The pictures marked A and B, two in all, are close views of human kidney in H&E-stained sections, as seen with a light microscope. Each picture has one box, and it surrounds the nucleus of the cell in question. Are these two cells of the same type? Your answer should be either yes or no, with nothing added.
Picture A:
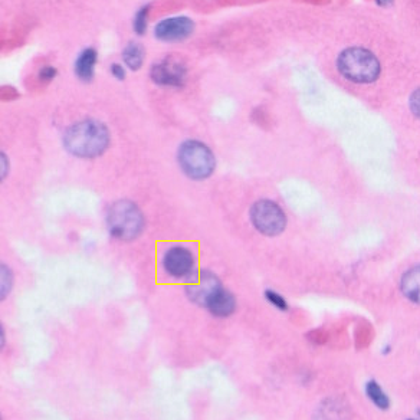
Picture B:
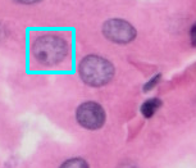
yes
